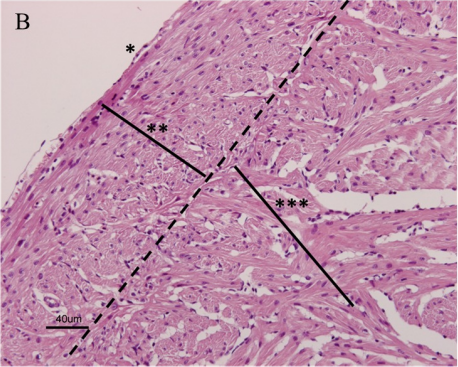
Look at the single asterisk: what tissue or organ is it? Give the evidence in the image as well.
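The asterisk sits at a thin outer layer at the free surface of the heart wall.
Hence: epicardium.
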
